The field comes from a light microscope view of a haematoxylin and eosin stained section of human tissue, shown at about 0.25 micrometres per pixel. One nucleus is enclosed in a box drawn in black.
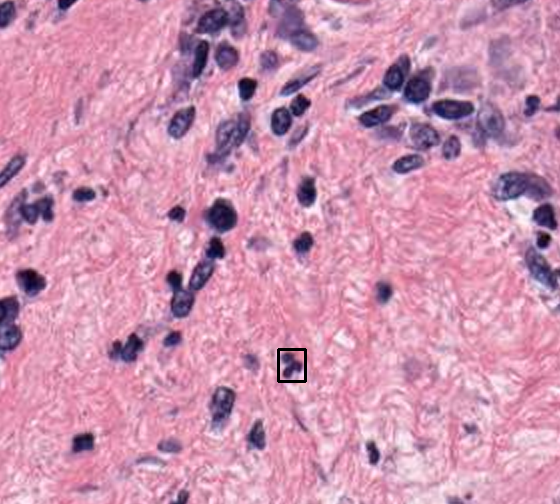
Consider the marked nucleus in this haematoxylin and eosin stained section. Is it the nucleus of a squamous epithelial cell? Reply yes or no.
no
